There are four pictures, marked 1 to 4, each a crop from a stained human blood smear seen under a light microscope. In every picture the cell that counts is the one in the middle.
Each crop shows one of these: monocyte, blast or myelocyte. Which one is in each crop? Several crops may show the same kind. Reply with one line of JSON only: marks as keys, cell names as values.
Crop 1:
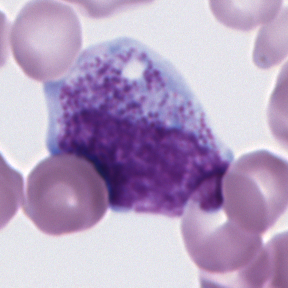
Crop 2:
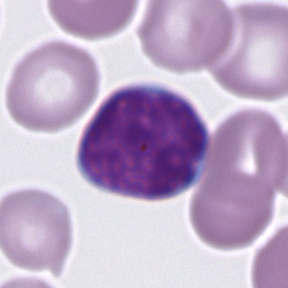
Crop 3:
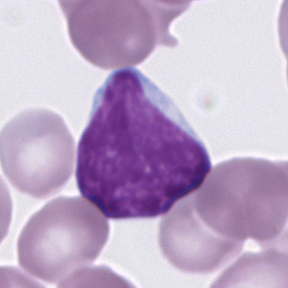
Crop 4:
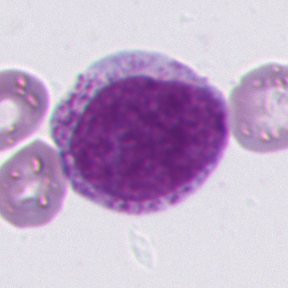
{"1": "myelocyte", "2": "blast", "3": "blast", "4": "myelocyte"}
